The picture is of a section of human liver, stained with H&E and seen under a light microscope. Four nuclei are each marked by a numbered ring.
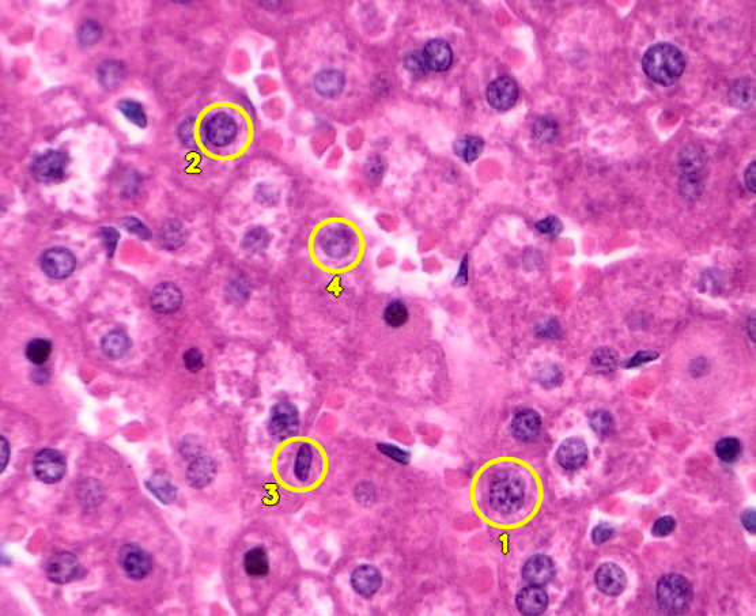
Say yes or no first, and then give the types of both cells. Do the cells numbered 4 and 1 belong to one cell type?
Yes, both are hepatocytes.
